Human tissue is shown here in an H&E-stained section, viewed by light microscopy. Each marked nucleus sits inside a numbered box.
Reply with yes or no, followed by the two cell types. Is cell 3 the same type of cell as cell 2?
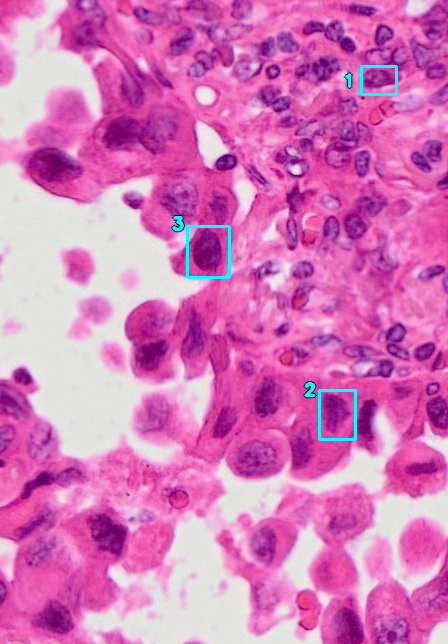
Yes, both are carcinoma cells.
